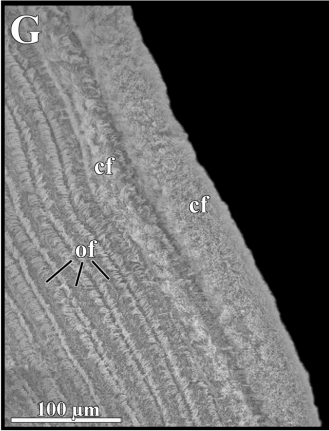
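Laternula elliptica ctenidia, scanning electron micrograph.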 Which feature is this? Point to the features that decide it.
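A long curved fold with many parallel ridges running along it. Ridges covered in fine ciliary tufts. On this evidence: plica.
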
